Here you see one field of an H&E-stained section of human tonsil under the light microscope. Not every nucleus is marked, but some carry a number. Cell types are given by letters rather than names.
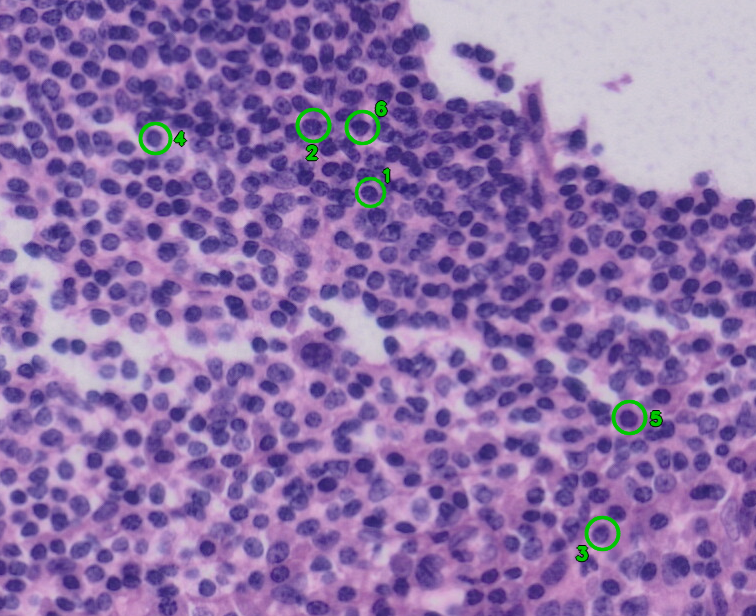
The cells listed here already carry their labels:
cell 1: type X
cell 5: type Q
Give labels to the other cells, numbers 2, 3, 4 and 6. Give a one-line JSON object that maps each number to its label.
{"2": "type X", "3": "type Q", "4": "type X", "6": "type X"}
